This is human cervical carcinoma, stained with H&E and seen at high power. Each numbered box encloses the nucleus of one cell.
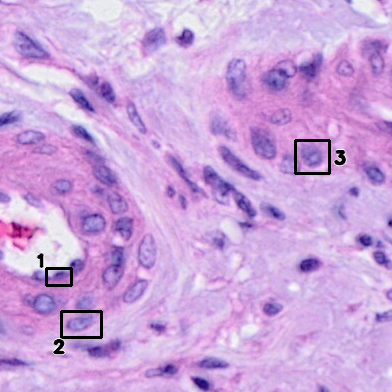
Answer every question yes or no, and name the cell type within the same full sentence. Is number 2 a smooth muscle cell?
Yes, the marked cell number 2 is a smooth muscle cell.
